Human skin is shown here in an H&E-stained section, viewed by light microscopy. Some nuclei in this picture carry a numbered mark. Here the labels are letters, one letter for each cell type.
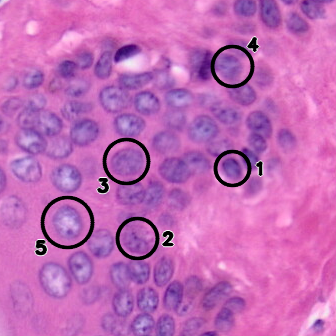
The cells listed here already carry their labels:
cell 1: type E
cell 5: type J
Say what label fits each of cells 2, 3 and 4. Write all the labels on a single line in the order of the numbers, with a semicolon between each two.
type E; type J; type E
